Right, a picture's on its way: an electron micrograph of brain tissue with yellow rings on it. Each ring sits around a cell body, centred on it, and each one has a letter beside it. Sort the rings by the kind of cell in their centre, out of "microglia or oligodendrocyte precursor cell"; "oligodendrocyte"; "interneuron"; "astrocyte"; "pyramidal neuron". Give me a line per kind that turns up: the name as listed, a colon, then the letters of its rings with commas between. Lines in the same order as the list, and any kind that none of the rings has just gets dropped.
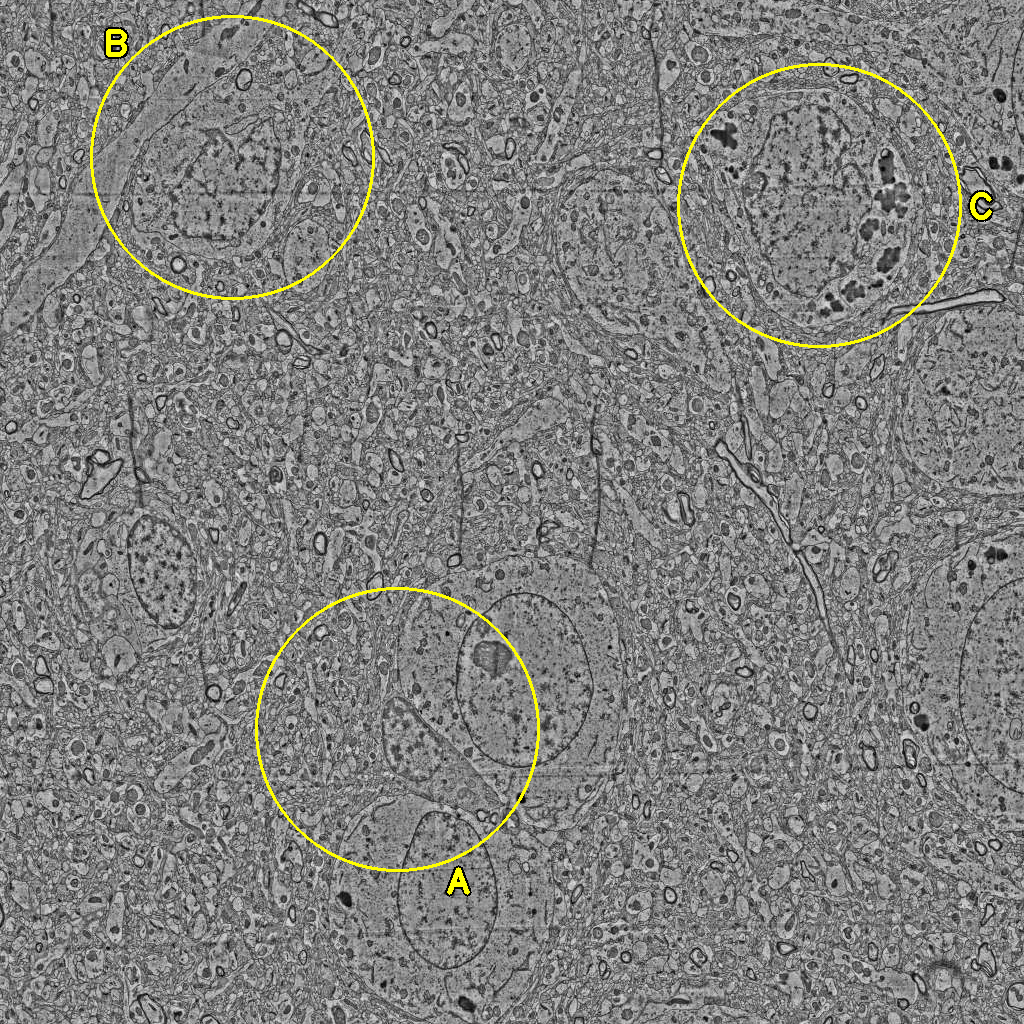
oligodendrocyte: A
interneuron: B, C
